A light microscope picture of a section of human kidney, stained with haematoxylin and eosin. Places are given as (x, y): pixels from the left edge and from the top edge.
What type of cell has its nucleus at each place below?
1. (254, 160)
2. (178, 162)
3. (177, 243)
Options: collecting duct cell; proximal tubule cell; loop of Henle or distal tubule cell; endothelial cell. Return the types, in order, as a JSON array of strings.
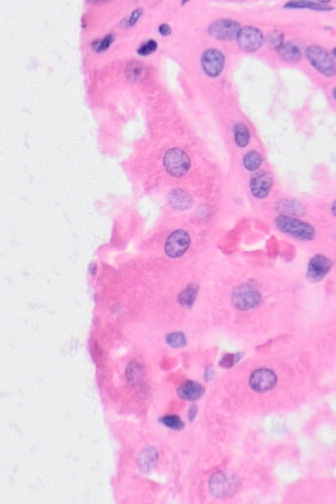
["collecting duct cell", "proximal tubule cell", "proximal tubule cell"]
